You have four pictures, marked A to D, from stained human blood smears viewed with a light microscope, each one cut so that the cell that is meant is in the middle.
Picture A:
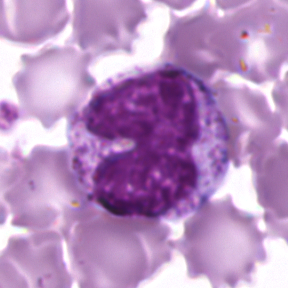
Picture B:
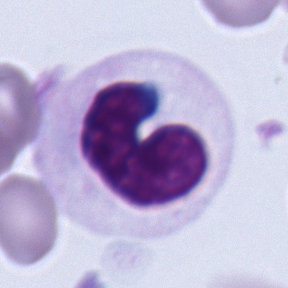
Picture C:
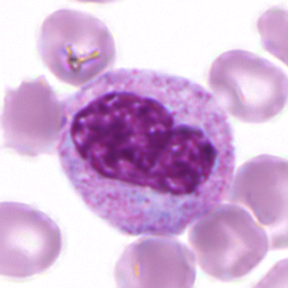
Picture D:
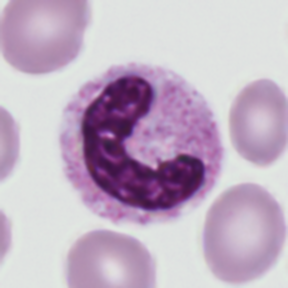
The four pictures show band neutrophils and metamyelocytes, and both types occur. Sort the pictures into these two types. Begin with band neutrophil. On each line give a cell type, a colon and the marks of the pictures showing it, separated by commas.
band neutrophil: A, B, D
metamyelocyte: C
